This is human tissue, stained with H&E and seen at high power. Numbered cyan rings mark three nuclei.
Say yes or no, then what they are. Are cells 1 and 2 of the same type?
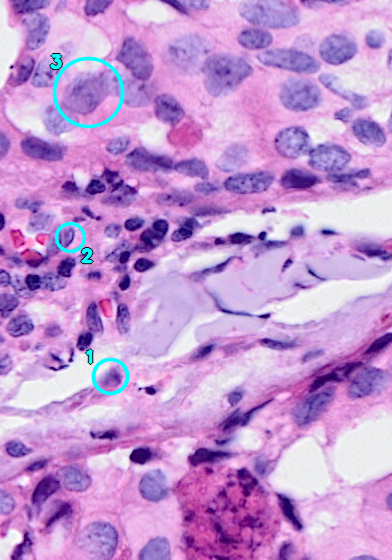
No: cell 1 is a fibroblast, while cell 2 is an endothelial cell.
